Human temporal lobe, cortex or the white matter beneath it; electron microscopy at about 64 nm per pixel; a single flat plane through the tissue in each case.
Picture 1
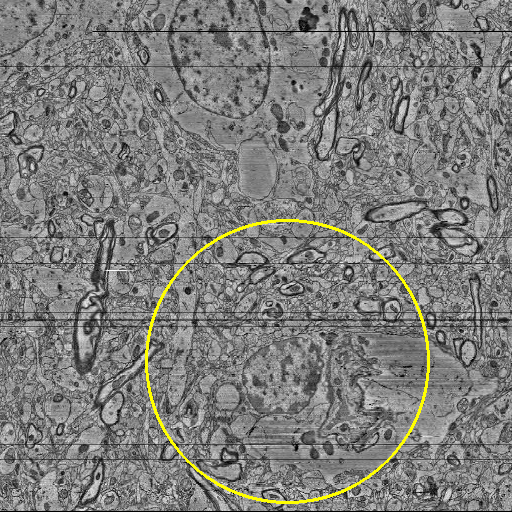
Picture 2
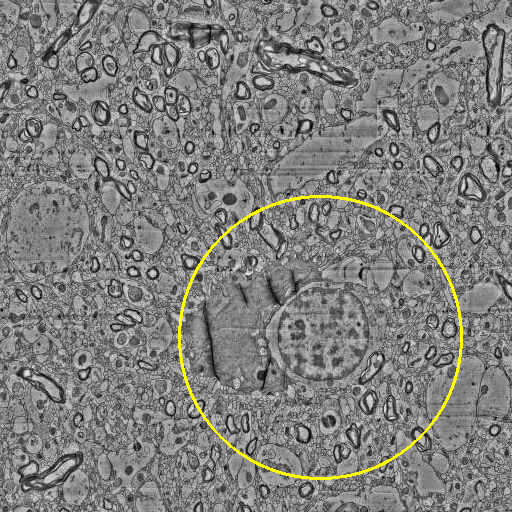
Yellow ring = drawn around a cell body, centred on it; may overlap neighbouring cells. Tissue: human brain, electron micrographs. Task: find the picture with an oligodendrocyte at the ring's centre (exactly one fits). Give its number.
2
